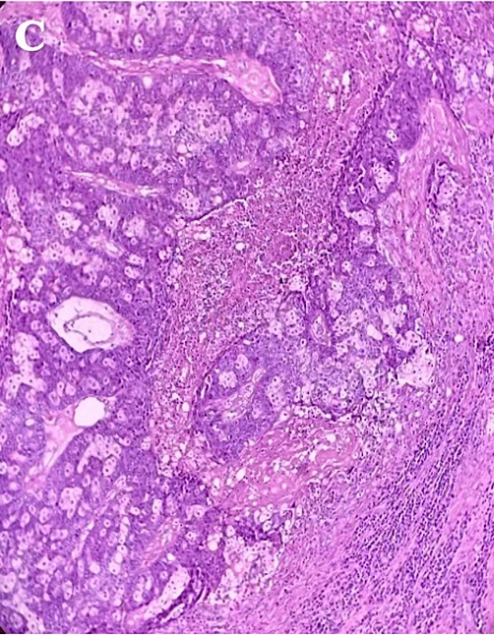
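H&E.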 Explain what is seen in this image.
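This is a malignant tumor of sebaceous cells, seen as crowded nests separated by bands of pink stroma. Within the nests, small dark cells with scant cytoplasm lie mixed with larger cells whose cytoplasm is pale and bubbly. The cells vary clearly in size and shape, and small clusters of dark inflammatory cells lie in the stroma toward the lower right.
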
